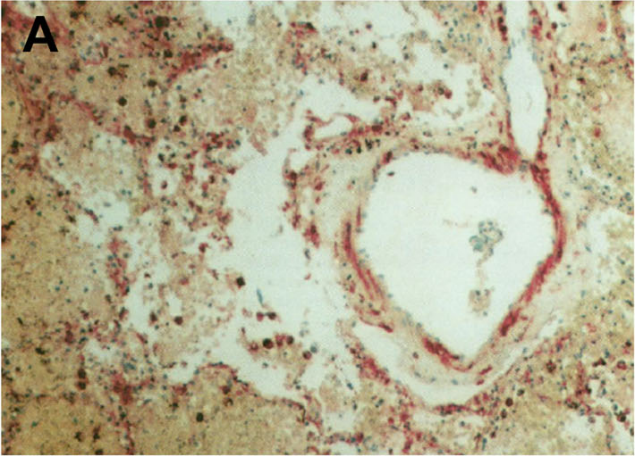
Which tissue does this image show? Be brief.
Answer: Lung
